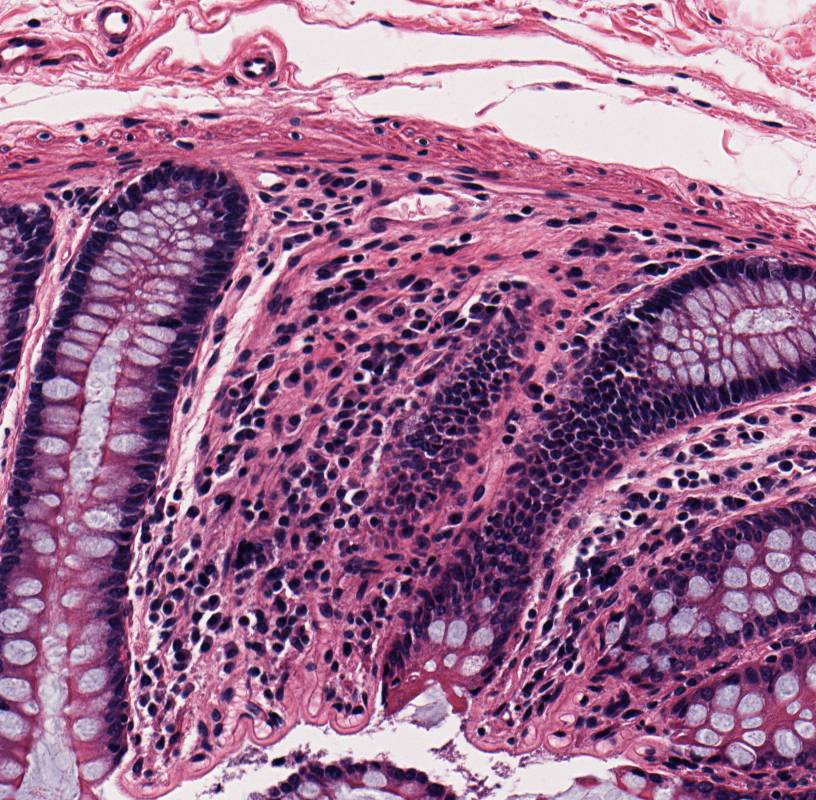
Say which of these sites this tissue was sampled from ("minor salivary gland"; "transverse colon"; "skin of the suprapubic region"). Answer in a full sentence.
The site this tissue was sampled from is the transverse colon.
